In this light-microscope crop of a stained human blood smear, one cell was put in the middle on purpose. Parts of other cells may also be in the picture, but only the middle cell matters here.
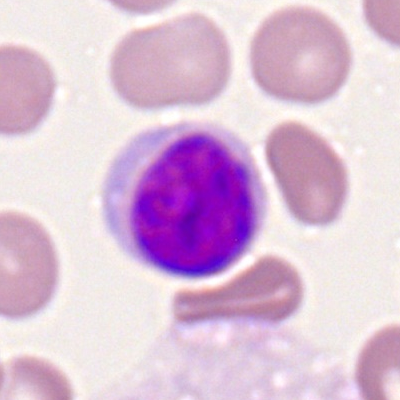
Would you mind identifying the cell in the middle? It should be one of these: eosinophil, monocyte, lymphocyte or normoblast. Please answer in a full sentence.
As for the cell in the middle, it is a lymphocyte.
